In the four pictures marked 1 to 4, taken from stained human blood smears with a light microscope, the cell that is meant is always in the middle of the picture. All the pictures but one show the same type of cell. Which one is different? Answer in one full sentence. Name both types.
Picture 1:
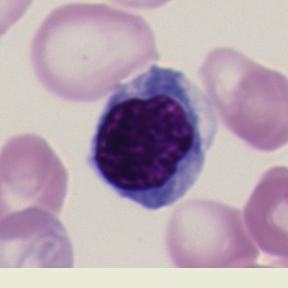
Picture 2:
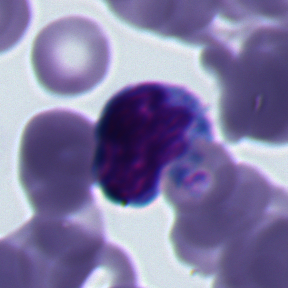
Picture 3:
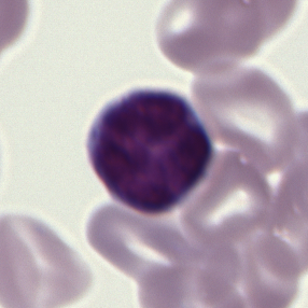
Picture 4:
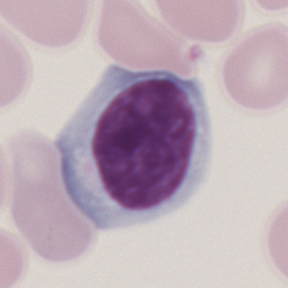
All pictures except 1 show typical lymphocytes; picture 1 shows a normoblast.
